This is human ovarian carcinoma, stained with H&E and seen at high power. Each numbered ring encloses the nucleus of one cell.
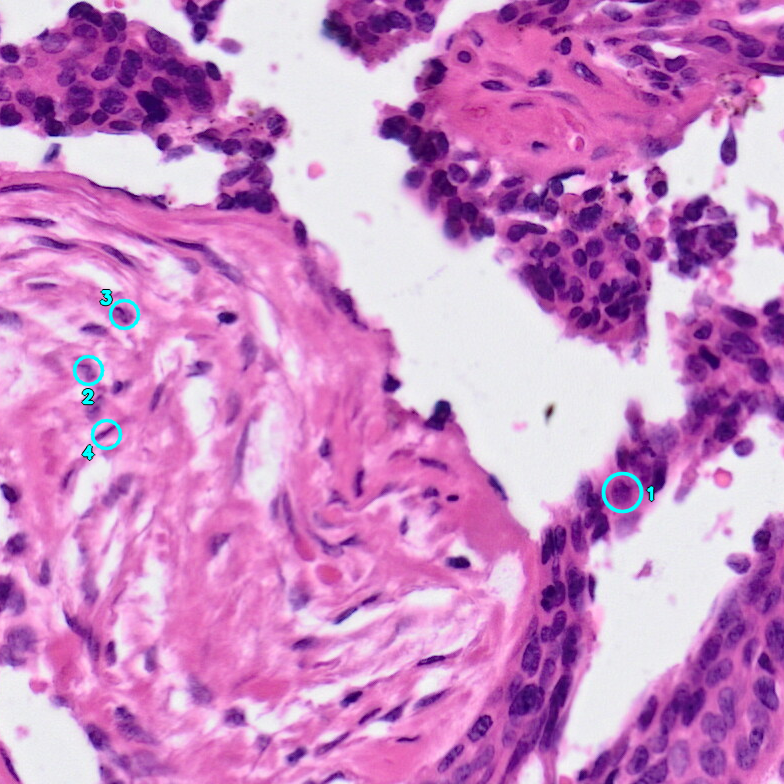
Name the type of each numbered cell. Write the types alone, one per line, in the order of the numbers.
carcinoma cell
fibroblast
fibroblast
fibroblast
